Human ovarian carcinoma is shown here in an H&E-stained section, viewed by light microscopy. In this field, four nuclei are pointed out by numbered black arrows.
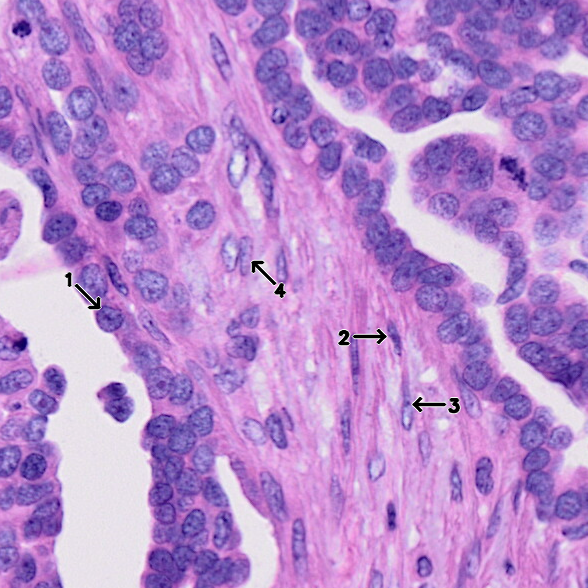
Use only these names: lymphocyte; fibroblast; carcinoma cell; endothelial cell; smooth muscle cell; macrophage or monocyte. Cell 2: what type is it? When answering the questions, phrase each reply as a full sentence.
The cell indicated with the number 2 is classed as a fibroblast.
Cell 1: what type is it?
Here, the cell given the number 1 is a carcinoma cell.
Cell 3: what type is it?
The identity of cell 3 is that of a fibroblast.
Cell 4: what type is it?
In the marked set, the cell given number 4 is a fibroblast.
